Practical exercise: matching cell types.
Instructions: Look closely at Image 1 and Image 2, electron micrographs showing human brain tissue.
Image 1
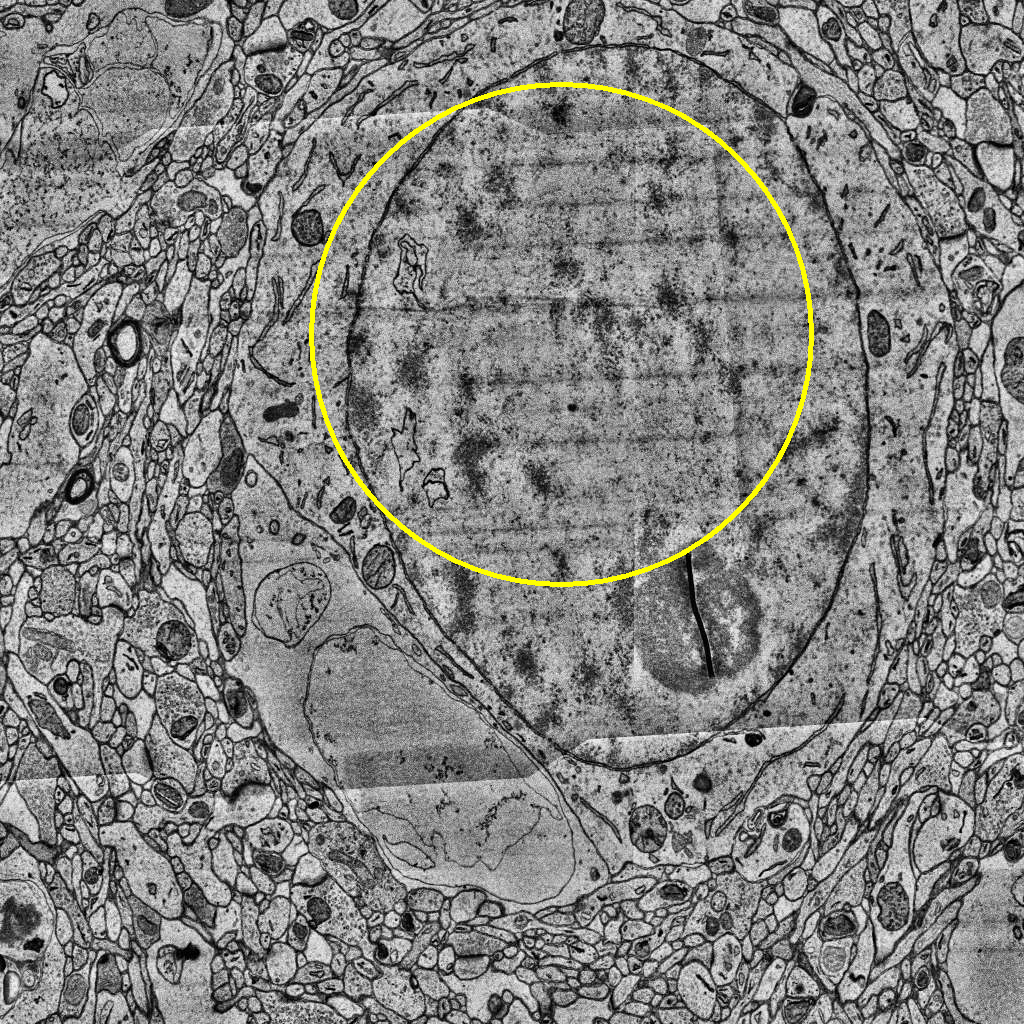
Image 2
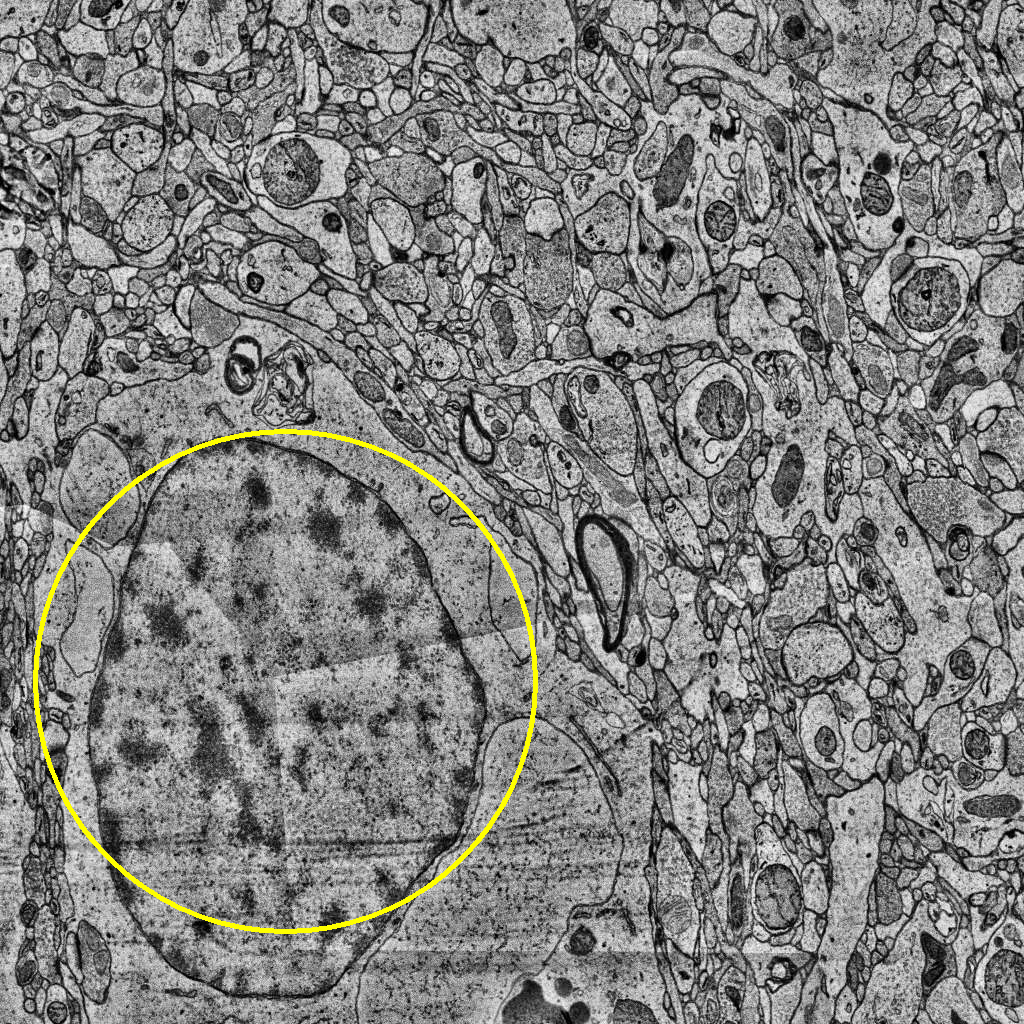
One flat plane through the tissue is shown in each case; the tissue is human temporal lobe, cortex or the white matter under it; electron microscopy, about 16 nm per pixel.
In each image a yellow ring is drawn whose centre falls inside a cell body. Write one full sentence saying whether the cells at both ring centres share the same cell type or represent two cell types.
Across Image 1 and Image 2, the cells at the ring centres represent two cell types.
